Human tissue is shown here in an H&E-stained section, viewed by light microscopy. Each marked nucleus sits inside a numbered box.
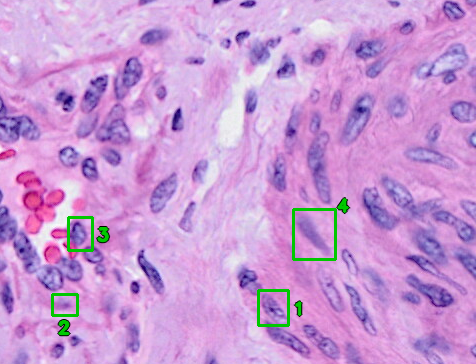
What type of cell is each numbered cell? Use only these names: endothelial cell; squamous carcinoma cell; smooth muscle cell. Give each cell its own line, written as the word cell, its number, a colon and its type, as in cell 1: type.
cell 1: smooth muscle cell
cell 2: smooth muscle cell
cell 3: endothelial cell
cell 4: smooth muscle cell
